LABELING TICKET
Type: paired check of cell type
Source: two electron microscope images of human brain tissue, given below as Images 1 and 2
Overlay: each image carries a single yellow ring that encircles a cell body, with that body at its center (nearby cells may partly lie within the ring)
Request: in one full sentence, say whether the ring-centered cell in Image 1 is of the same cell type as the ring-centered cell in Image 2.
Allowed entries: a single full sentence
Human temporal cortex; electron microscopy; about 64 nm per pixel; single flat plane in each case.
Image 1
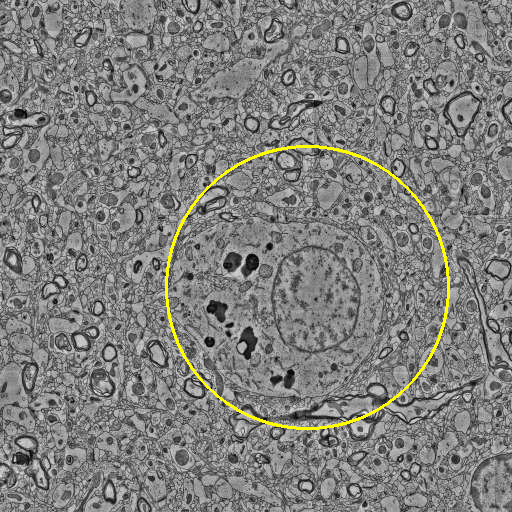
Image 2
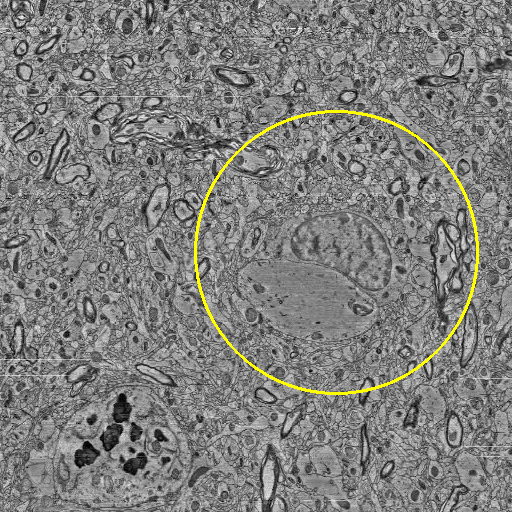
No, the cells centered in the rings of Image 1 and Image 2 are of two types.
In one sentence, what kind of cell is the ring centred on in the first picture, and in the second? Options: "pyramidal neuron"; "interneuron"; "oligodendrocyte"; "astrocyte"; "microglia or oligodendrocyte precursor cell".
The cell at the centre of the second ring is an oligodendrocyte; the first ring's cell is a pyramidal neuron.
